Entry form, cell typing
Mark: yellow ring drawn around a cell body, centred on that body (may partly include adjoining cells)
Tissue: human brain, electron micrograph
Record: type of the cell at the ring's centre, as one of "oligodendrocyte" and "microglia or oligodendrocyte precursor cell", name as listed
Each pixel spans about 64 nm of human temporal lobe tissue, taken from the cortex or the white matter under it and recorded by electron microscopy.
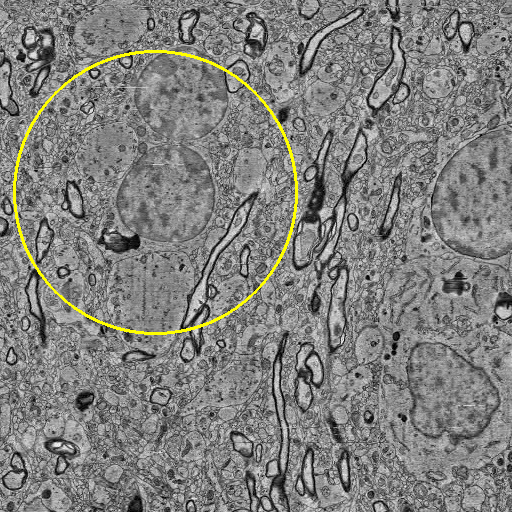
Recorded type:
oligodendrocyte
